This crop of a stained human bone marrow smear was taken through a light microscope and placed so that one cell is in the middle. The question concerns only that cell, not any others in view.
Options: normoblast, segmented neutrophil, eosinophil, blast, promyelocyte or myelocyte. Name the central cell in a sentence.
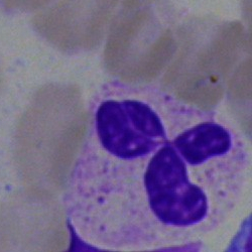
This crop has a segmented neutrophil at its centre.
